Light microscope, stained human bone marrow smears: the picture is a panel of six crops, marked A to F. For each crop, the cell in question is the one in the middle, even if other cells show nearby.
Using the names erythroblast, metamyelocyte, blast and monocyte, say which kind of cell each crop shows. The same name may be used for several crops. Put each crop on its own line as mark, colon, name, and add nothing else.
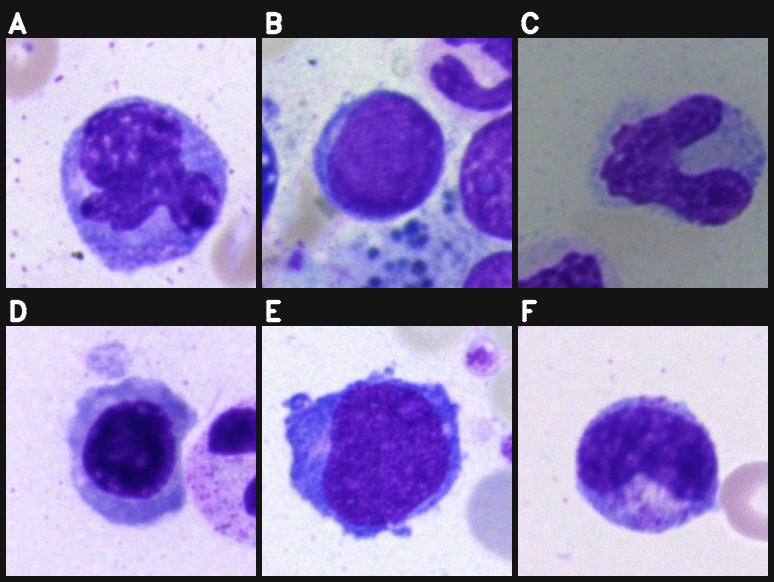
A: monocyte
B: blast
C: monocyte
D: erythroblast
E: blast
F: metamyelocyte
